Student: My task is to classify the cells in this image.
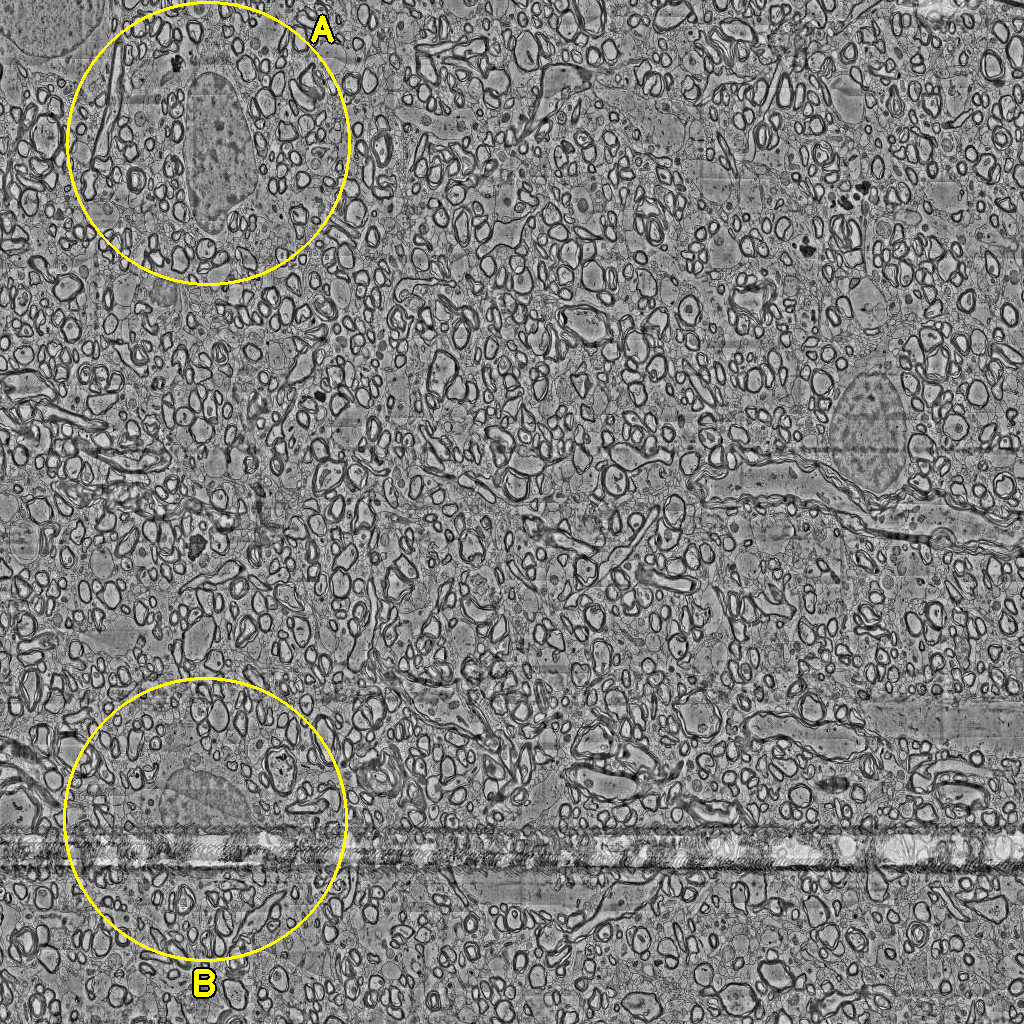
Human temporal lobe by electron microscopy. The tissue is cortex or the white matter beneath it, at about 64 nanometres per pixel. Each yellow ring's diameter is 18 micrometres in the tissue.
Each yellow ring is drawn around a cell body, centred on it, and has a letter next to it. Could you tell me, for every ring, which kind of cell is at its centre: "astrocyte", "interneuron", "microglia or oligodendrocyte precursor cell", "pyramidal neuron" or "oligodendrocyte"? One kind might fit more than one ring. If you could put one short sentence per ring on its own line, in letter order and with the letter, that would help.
Ring A's central cell is a microglial cell or oligodendrocyte precursor cell.
Ring B's central cell is an oligodendrocyte.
